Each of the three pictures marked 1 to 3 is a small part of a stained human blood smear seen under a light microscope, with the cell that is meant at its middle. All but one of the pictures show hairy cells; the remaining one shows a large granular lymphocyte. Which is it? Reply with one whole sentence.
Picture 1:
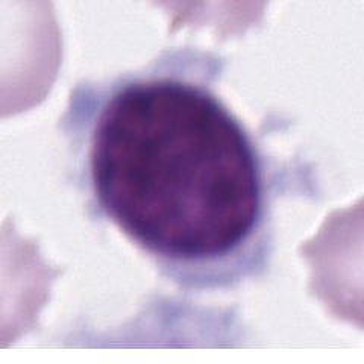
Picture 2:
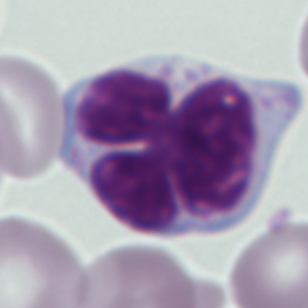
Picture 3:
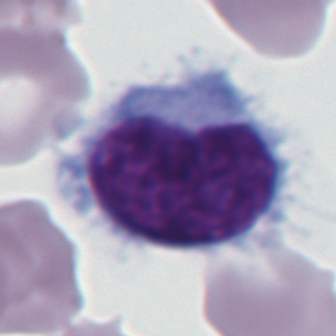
Picture 2 shows the large granular lymphocyte.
